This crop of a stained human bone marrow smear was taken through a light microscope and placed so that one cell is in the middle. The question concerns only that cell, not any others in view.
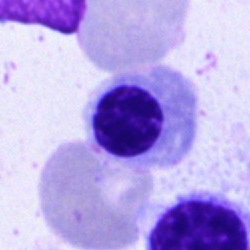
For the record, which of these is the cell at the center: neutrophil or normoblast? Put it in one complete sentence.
The cell nearest the centre of this crop is a normoblast.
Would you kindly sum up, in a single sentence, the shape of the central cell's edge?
Its outline is smooth, with no projections anywhere along the edge.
